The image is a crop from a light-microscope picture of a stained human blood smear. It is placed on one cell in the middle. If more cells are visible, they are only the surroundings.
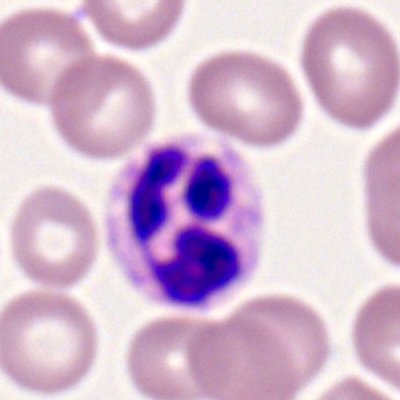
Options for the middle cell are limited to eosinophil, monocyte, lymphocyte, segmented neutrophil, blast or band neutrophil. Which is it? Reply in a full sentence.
Whatever else lies nearby, the middle cell is a segmented neutrophil.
